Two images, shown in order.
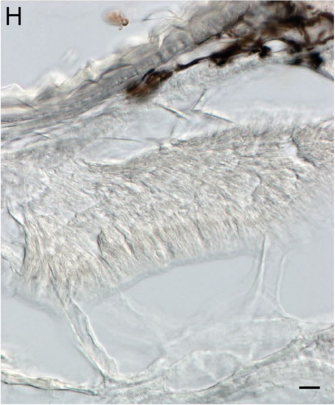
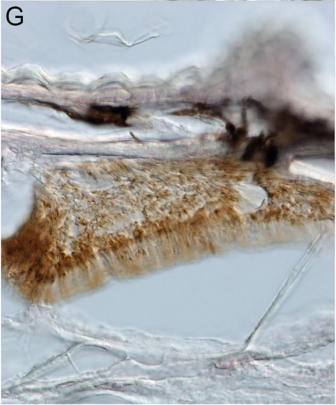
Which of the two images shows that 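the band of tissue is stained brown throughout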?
The second image.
